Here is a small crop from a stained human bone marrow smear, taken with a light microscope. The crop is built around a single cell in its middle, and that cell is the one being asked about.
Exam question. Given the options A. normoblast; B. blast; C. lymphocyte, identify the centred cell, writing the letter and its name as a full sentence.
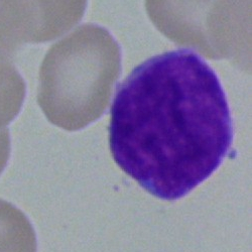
Option B is correct in naming the middle cell a blast.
